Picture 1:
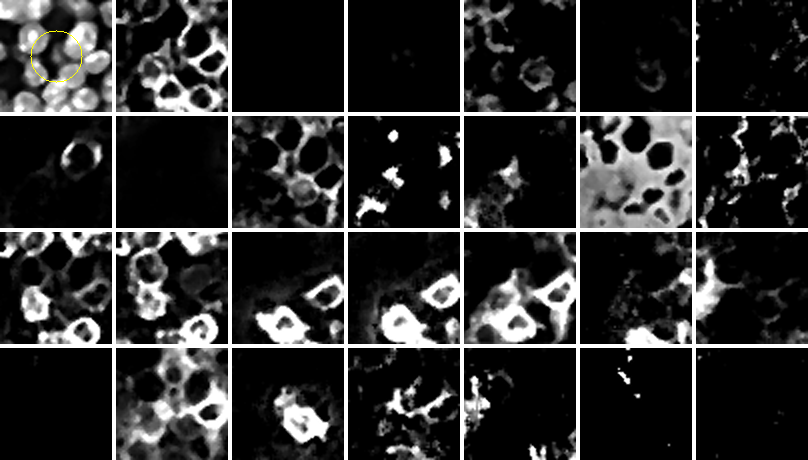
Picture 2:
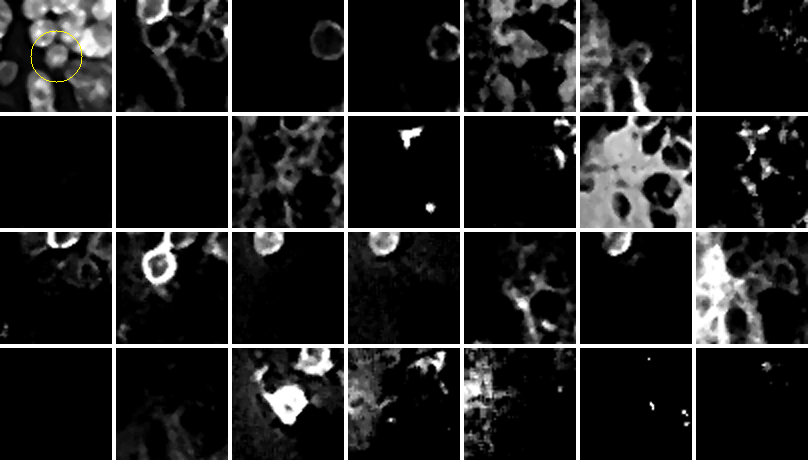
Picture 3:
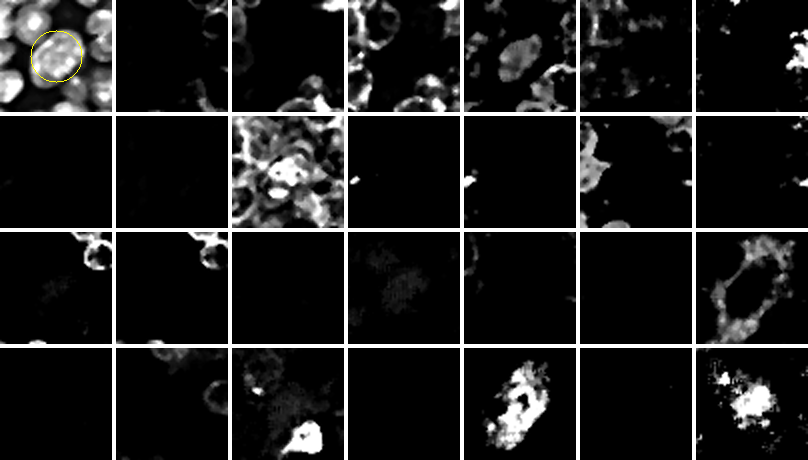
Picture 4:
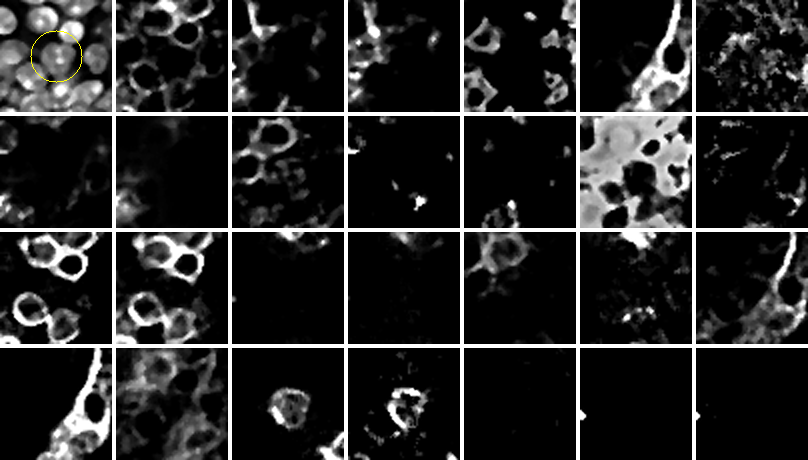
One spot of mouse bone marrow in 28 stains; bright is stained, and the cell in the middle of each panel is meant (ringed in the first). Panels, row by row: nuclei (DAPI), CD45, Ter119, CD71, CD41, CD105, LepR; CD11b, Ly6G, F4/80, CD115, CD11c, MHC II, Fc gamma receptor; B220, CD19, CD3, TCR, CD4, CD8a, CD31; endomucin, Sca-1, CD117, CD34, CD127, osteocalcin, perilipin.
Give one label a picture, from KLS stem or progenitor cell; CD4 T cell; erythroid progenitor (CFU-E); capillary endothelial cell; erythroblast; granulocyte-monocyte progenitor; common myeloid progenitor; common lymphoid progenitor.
(1) KLS stem or progenitor cell
(2) granulocyte-monocyte progenitor
(3) common lymphoid progenitor
(4) common myeloid progenitor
